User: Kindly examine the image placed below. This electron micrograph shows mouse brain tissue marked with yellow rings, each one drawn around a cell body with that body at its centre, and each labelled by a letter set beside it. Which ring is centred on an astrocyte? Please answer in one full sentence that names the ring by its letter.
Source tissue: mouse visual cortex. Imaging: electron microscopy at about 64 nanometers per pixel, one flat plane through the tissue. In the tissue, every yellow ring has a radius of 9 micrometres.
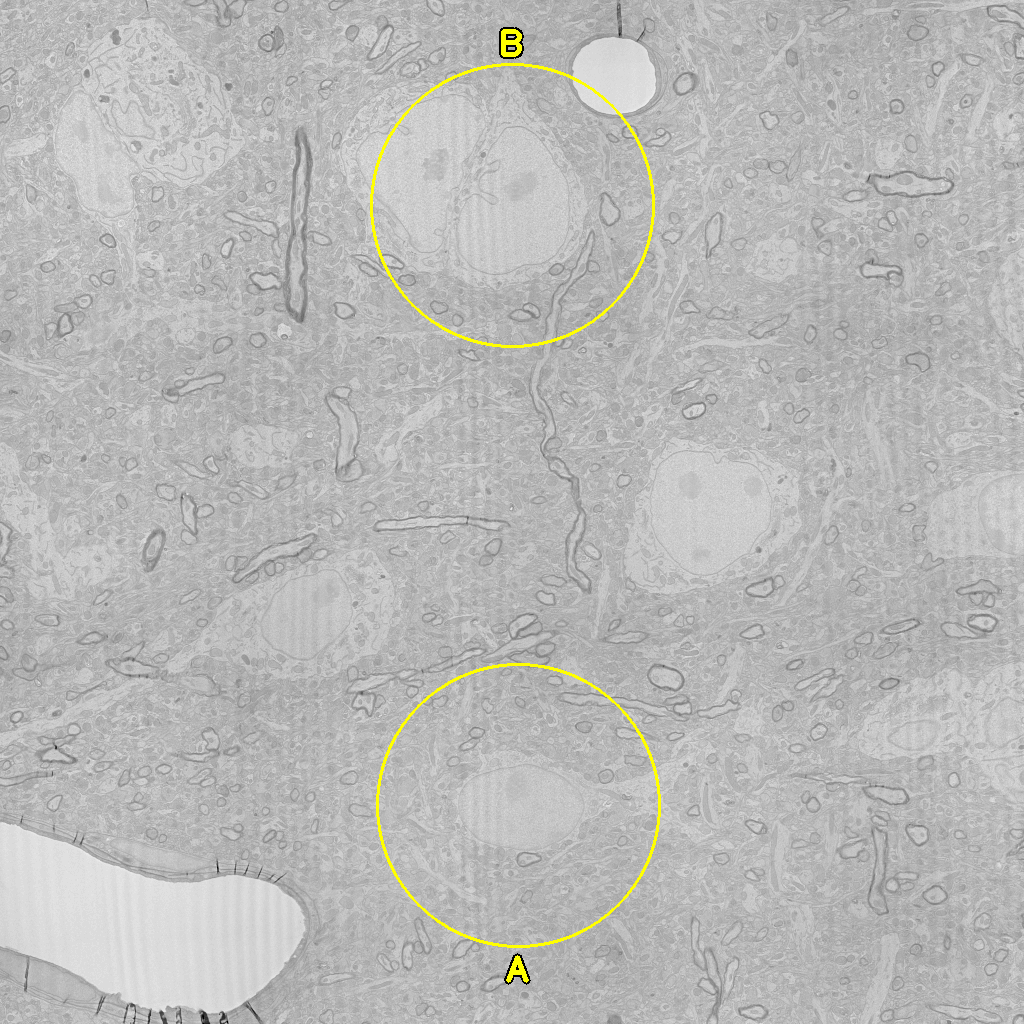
Ring A is the one drawn around the cell asked for.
